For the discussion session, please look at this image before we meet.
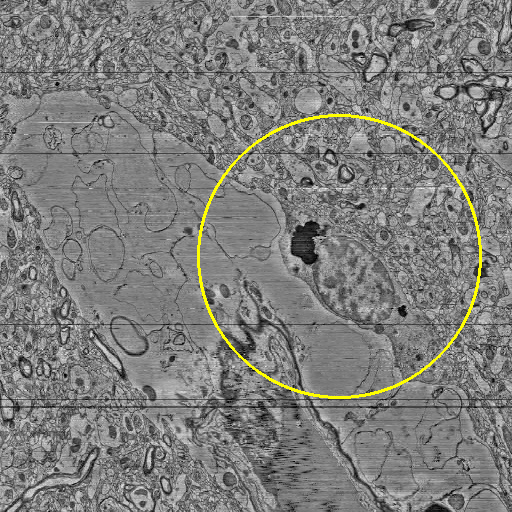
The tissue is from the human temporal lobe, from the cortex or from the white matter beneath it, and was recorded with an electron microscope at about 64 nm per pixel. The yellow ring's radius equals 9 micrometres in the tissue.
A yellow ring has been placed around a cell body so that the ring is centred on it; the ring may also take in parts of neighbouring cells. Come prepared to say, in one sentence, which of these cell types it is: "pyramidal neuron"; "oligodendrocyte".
The cell centred in the ring is an oligodendrocyte.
